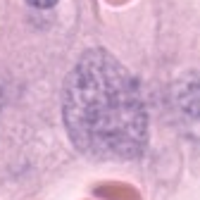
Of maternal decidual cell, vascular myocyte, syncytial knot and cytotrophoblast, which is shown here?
cytotrophoblast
